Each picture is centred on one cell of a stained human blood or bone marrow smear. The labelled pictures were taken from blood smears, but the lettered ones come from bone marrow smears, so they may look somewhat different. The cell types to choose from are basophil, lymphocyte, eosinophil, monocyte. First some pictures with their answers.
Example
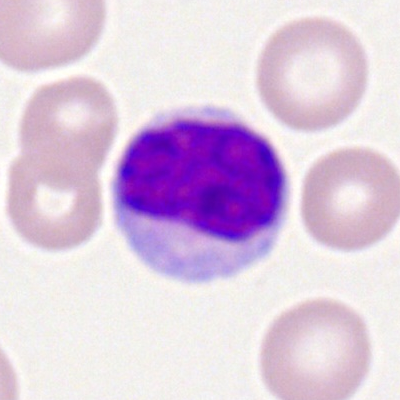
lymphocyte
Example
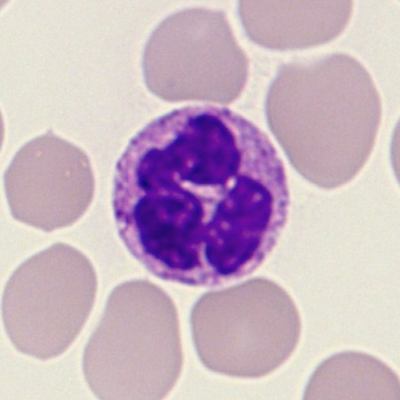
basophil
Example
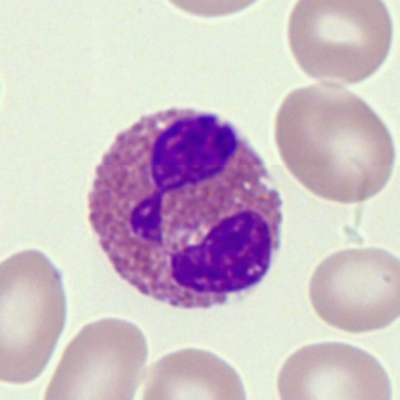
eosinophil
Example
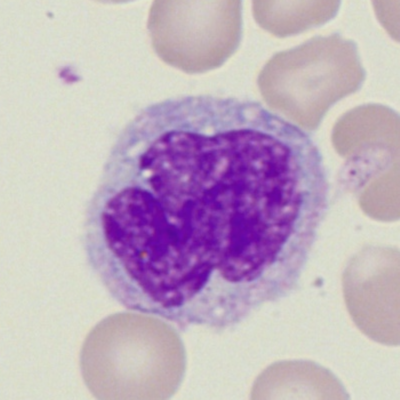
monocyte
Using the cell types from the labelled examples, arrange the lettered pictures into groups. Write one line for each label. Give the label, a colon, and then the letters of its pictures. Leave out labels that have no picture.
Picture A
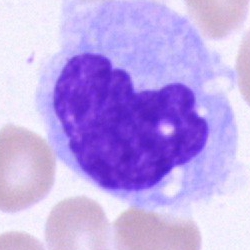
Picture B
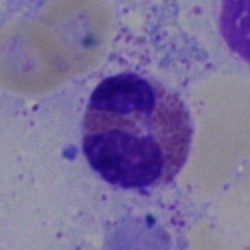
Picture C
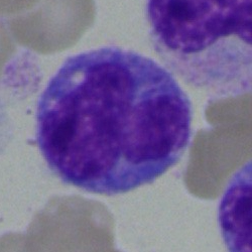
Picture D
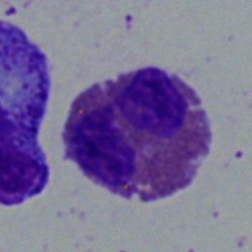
eosinophil: B, D
monocyte: A, C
